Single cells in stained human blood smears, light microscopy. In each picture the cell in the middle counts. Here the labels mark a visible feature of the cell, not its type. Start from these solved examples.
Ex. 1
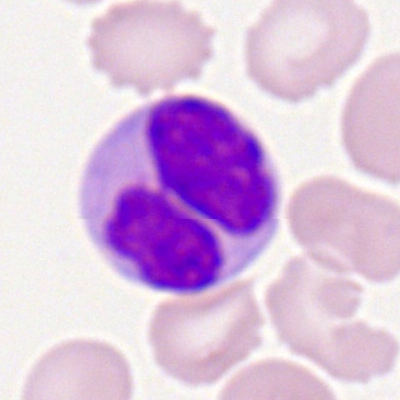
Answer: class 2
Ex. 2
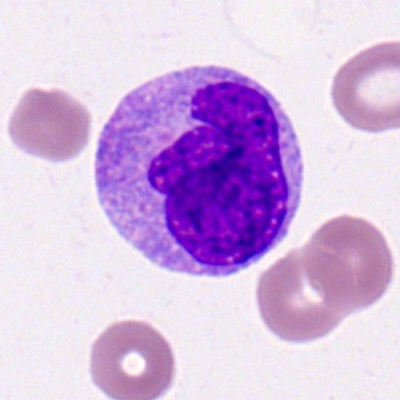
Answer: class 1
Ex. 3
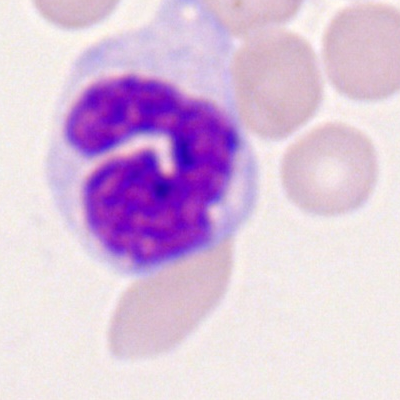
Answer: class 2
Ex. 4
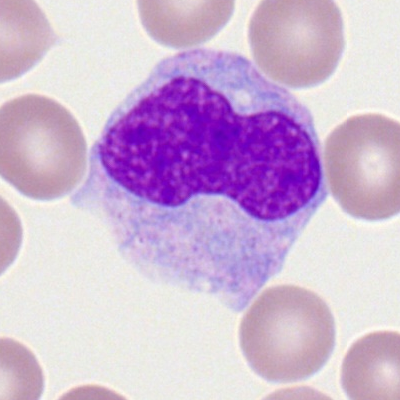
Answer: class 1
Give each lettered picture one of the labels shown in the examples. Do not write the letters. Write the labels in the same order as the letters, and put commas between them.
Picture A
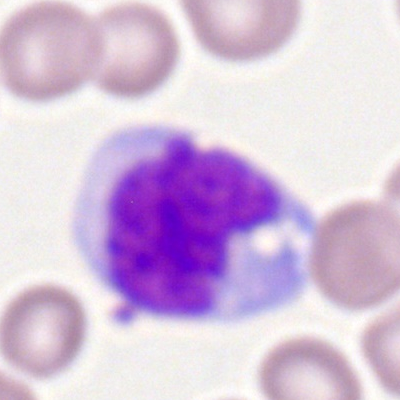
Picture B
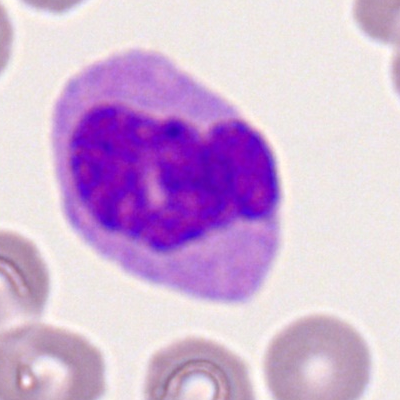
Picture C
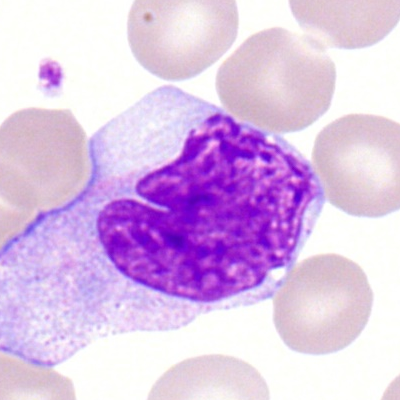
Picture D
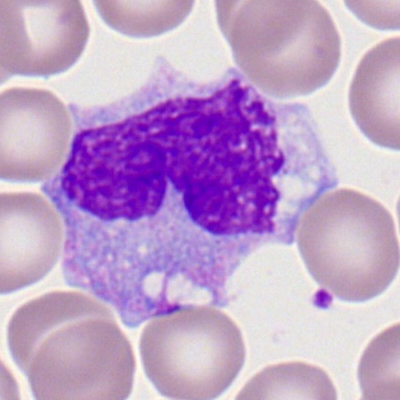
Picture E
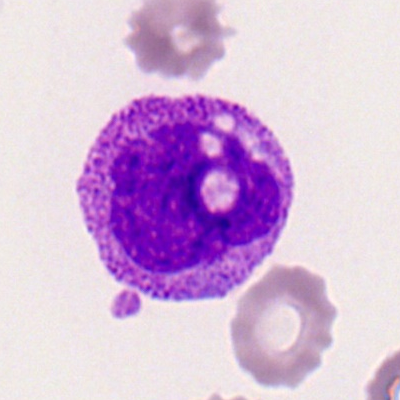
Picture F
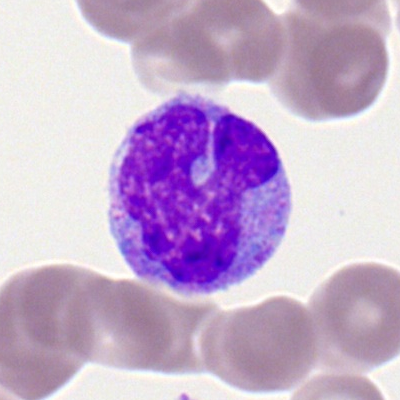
class 2, class 2, class 1, class 1, class 1, class 1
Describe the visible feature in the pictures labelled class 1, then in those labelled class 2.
In class 1: many visible granules. In class 2: no visible granules.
